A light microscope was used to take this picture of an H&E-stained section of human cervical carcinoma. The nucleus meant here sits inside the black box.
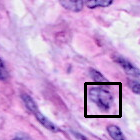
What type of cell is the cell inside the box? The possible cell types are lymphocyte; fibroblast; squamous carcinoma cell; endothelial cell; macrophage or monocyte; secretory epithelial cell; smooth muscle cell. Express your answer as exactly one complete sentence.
To be brief about it, the cell inside the box is a macrophage or monocyte.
